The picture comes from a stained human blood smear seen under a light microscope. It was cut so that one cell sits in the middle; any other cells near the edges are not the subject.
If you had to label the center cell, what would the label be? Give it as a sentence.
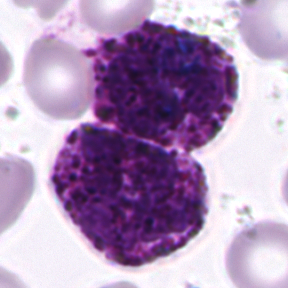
Standing at the centre of this crop is a basophil.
